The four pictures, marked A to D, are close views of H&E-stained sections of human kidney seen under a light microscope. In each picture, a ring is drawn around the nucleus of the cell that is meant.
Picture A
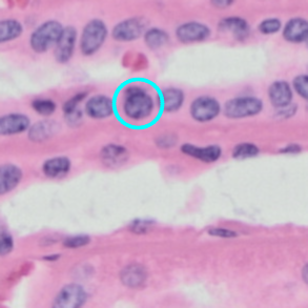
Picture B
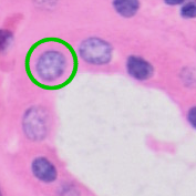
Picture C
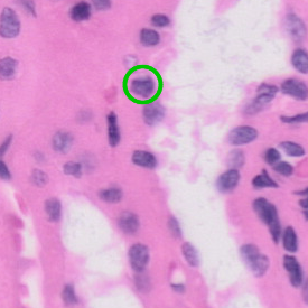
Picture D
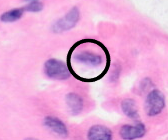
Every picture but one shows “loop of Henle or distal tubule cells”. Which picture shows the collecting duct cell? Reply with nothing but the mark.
A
